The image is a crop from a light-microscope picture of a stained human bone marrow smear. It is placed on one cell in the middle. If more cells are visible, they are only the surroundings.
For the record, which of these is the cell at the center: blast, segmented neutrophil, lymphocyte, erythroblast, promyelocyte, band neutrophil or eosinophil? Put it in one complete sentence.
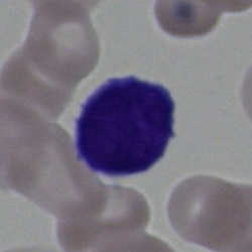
The cell in the middle of this crop is a lymphocyte.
